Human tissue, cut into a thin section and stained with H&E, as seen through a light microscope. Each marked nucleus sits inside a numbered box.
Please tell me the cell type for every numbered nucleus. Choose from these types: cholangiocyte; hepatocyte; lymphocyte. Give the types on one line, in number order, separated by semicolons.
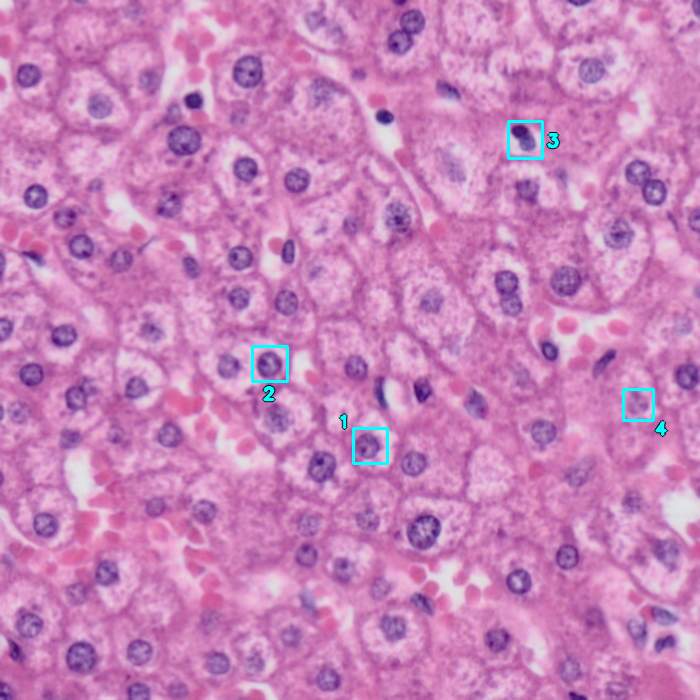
hepatocyte; hepatocyte; lymphocyte; hepatocyte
